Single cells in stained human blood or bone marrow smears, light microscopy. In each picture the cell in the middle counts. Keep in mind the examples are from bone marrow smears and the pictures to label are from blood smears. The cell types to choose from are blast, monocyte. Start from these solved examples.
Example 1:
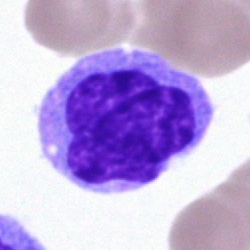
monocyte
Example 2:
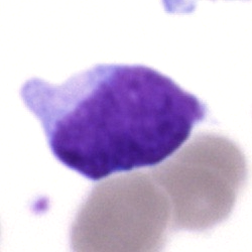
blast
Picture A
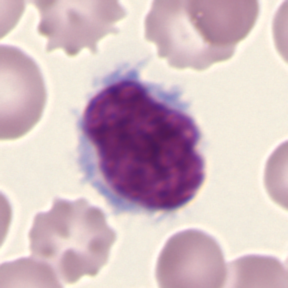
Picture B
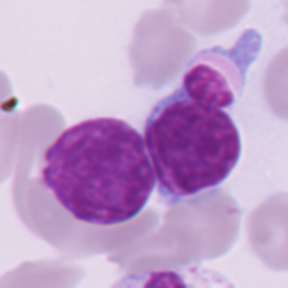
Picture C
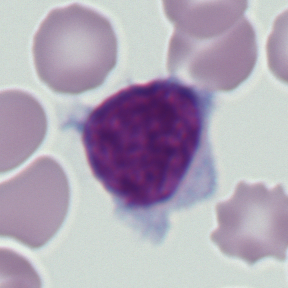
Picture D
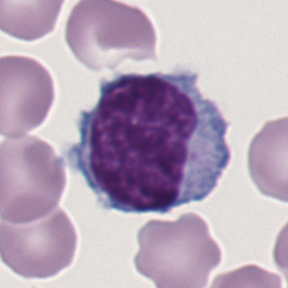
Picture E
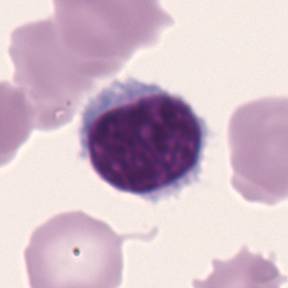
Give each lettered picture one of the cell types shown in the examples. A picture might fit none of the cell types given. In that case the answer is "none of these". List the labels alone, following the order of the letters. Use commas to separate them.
none of these, blast, none of these, blast, none of these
